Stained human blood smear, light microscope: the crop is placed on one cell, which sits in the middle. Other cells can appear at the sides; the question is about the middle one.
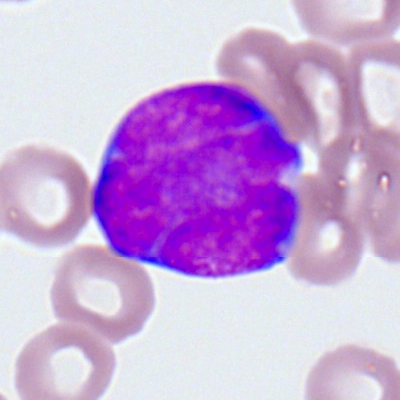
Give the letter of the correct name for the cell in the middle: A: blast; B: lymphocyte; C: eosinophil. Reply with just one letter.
A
